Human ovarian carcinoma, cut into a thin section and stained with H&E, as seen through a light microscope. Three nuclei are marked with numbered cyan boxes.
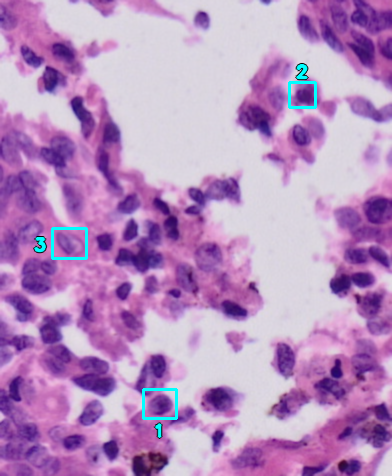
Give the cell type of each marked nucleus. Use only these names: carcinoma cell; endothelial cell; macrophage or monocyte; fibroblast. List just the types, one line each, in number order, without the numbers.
carcinoma cell
carcinoma cell
endothelial cell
